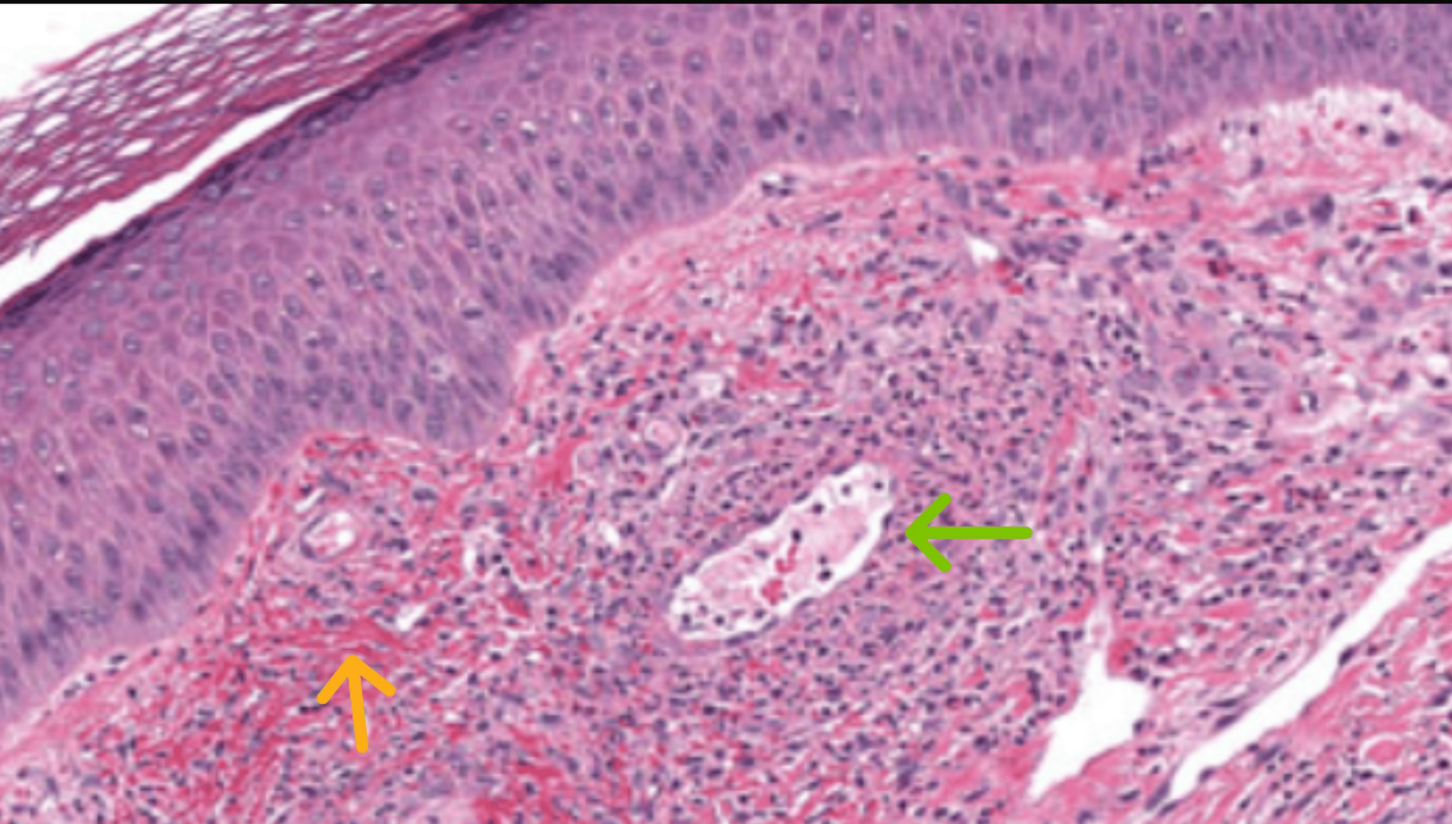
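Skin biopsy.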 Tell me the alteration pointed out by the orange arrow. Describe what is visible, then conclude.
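Bright red, non-nucleated material lies scattered in the dermal stroma outside the vessels. It sits among the inflammatory cells below the epidermis.
Hence: extravasated red blood cells.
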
